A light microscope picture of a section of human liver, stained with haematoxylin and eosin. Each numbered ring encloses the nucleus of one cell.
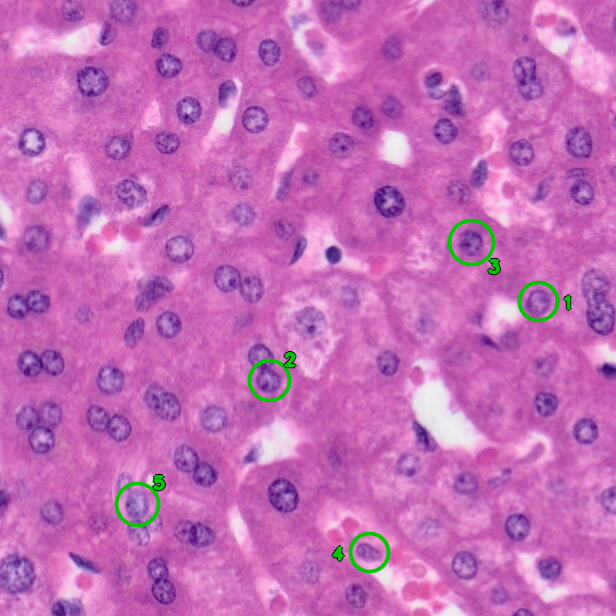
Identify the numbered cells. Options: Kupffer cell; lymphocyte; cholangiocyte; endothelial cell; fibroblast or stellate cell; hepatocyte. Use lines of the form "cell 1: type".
cell 1: hepatocyte
cell 2: hepatocyte
cell 3: hepatocyte
cell 4: Kupffer cell
cell 5: cholangiocyte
